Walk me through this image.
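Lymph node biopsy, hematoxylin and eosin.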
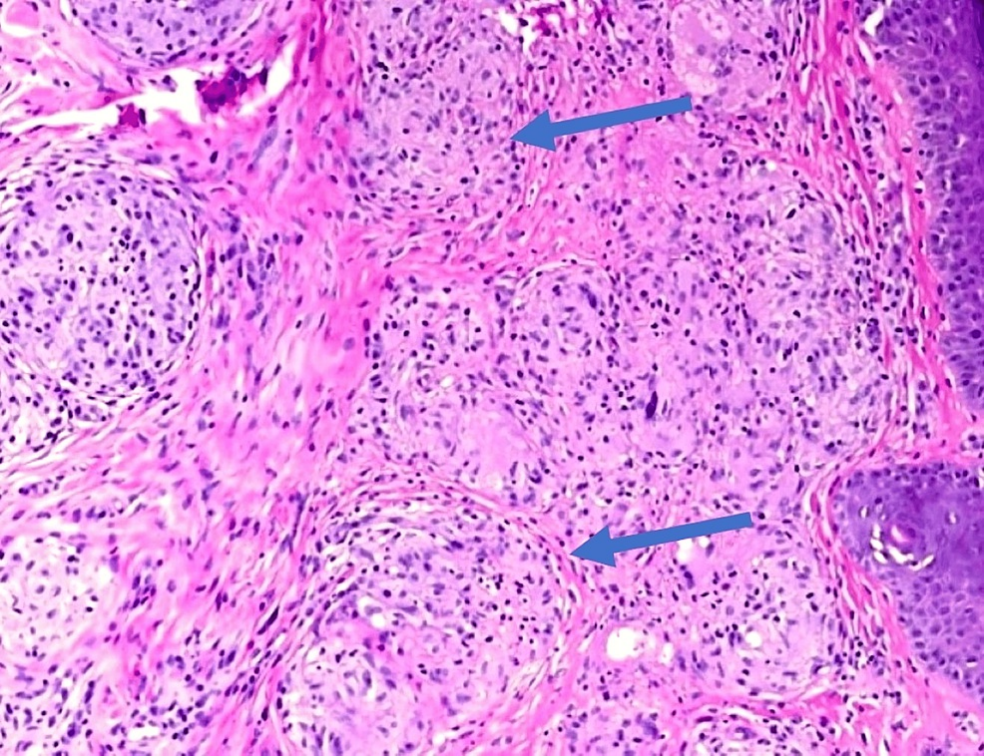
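Several rounded, closely packed nodules lie side by side, each made of cells with plentiful pale pink cytoplasm and oval, pale, elongated nuclei, ringed by concentric pink fibrous bands and scattered small dark nuclei. The nodules have no necrotic centre and crowd the field, with a strip of densely purple squamous epithelium at the right edge.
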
